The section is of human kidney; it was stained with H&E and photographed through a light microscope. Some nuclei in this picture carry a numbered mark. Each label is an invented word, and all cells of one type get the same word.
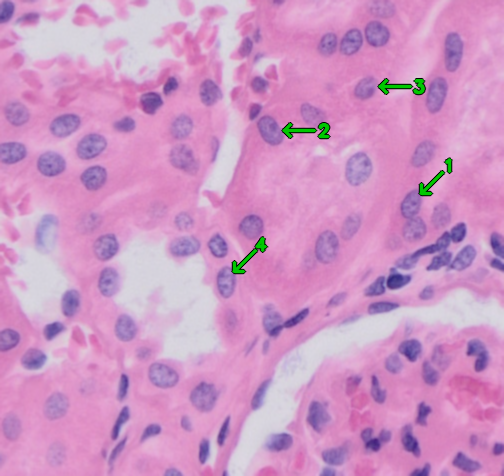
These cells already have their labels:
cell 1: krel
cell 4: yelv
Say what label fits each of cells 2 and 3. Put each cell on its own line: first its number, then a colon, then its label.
2: krel
3: krel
